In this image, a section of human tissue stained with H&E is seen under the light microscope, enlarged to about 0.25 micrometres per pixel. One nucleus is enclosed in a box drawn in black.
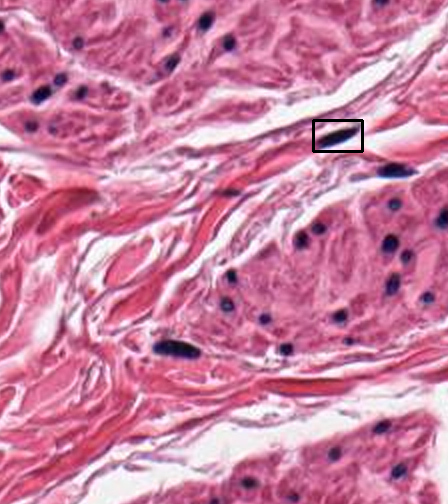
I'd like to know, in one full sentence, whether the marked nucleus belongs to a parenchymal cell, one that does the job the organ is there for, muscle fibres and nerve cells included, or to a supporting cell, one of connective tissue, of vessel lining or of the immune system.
The marked nucleus belongs to a cell, and that cell is a supporting cell.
